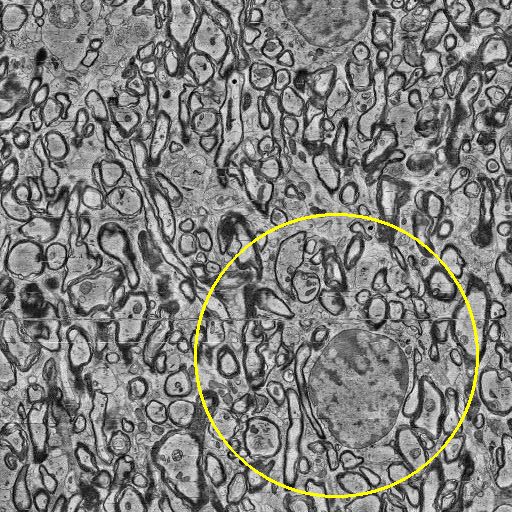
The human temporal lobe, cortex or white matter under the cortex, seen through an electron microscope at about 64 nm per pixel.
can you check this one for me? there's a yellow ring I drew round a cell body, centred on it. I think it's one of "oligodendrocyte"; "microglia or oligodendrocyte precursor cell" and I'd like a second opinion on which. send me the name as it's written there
microglia or oligodendrocyte precursor cell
